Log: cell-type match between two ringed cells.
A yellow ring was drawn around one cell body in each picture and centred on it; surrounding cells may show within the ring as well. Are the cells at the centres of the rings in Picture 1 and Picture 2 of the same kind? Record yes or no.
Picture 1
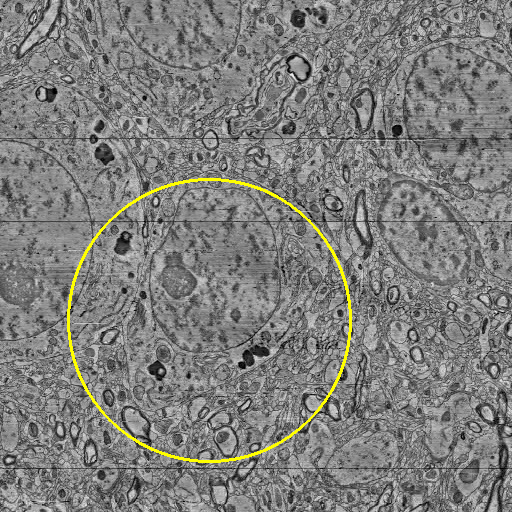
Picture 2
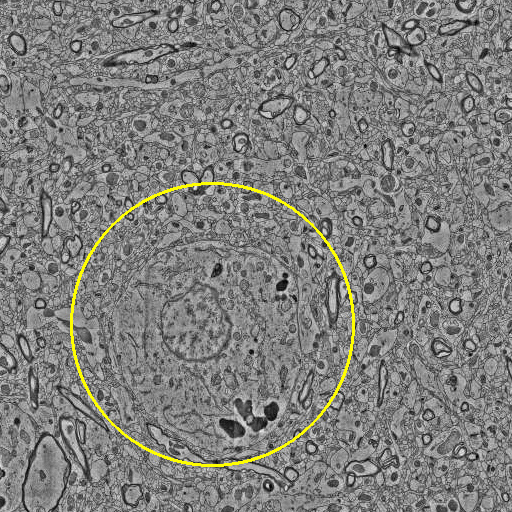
yes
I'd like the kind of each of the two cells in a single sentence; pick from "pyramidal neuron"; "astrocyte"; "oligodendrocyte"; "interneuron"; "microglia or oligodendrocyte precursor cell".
Both pictures show a pyramidal neuron at the centre of the ring.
